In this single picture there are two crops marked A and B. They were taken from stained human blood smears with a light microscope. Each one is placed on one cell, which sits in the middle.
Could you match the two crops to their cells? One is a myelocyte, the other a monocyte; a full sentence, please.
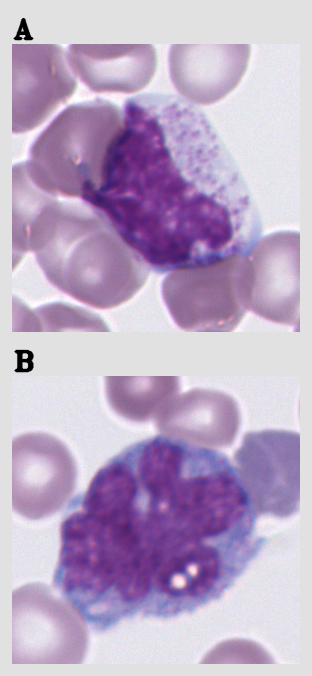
Crop A presents a myelocyte, and crop B presents a monocyte.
